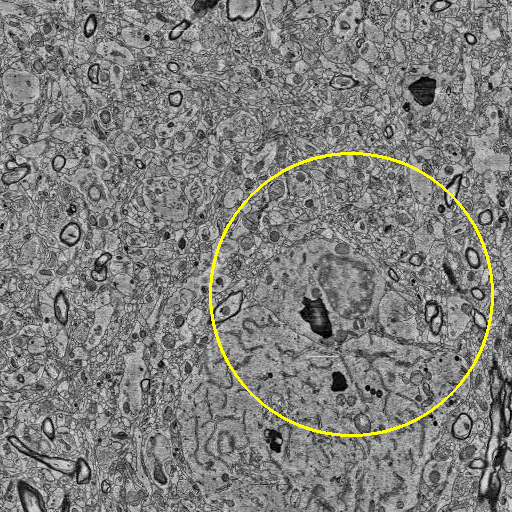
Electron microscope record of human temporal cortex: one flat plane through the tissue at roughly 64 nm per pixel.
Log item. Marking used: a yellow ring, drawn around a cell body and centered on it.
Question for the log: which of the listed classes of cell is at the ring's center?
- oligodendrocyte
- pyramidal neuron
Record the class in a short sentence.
At the center of the ring lies an oligodendrocyte.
